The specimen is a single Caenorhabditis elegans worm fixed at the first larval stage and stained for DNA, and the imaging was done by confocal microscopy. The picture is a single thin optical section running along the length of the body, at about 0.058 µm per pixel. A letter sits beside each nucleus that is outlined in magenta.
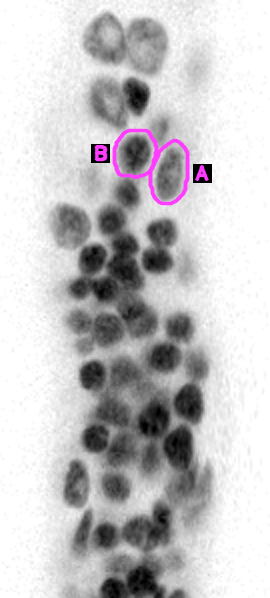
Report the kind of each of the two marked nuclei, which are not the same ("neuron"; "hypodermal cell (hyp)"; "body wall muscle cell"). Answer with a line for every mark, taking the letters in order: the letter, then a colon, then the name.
A: body wall muscle cell
B: neuron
